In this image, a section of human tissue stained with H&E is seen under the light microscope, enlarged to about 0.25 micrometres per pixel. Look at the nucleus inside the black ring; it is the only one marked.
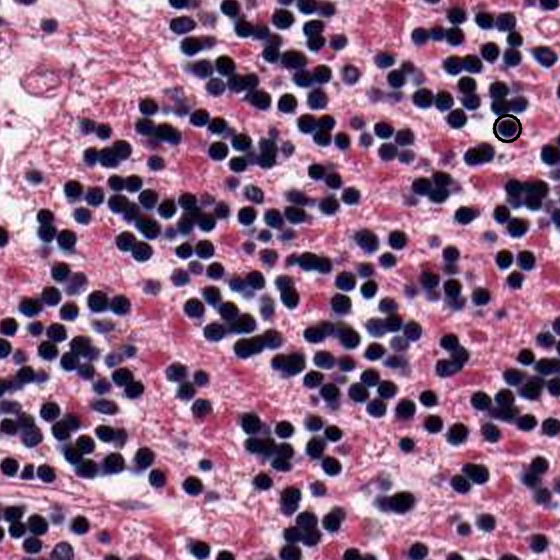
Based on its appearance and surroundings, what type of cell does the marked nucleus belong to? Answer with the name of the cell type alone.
cerebellar granule cell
